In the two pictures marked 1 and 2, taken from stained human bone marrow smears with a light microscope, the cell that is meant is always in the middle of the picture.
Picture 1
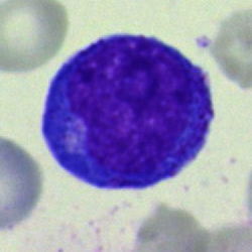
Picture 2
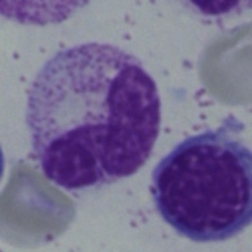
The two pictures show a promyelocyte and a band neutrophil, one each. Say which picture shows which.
1: promyelocyte
2: band neutrophil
